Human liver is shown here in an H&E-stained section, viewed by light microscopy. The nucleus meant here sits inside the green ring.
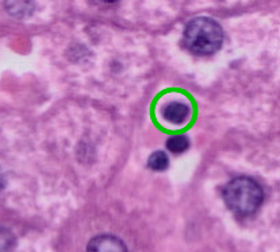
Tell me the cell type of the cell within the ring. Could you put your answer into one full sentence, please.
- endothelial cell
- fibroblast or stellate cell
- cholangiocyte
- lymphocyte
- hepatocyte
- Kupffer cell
Microscopically, the cell within the ring is categorized as a lymphocyte.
